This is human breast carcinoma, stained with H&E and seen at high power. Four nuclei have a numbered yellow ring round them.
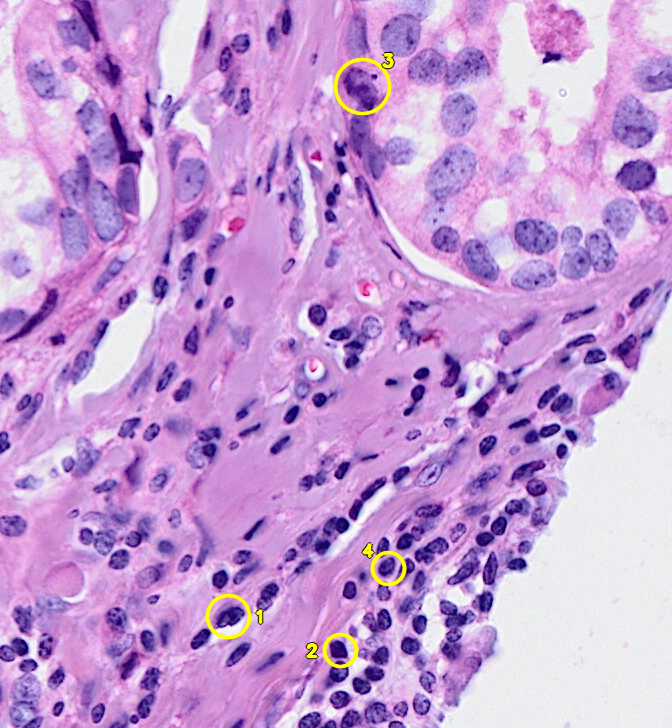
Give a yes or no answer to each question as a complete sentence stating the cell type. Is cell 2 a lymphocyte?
Yes, of the numbered cells, number 2 is a lymphocyte.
